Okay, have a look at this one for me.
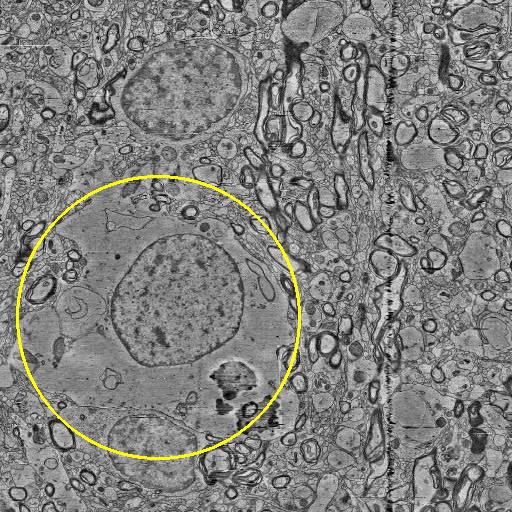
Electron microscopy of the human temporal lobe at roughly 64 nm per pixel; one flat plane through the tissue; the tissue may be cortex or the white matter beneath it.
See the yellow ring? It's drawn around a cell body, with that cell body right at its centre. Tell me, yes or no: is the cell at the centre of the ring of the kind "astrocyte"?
Yes, it is of that kind.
